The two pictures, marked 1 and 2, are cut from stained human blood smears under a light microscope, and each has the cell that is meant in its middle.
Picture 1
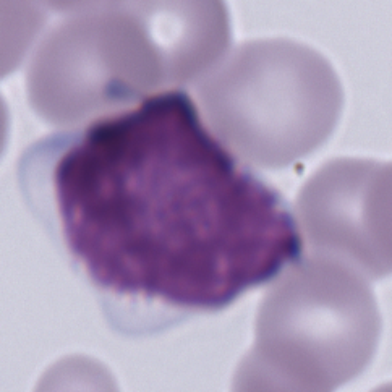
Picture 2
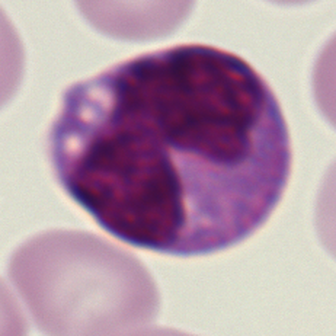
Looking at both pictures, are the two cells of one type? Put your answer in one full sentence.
No, picture 1 shows a large granular lymphocyte and picture 2 shows a monocyte.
